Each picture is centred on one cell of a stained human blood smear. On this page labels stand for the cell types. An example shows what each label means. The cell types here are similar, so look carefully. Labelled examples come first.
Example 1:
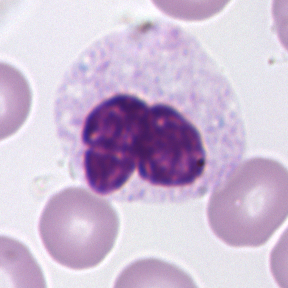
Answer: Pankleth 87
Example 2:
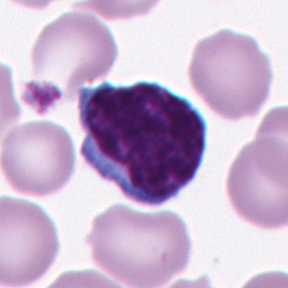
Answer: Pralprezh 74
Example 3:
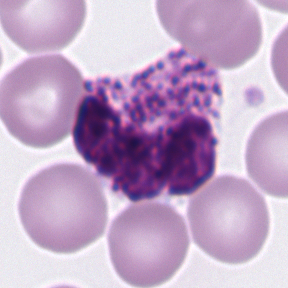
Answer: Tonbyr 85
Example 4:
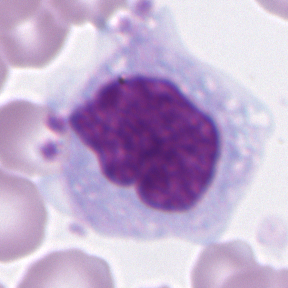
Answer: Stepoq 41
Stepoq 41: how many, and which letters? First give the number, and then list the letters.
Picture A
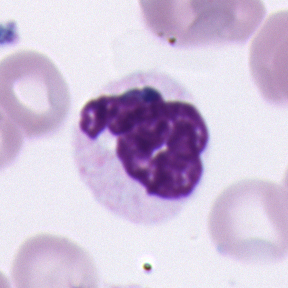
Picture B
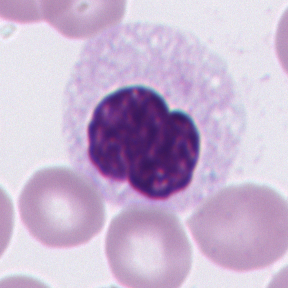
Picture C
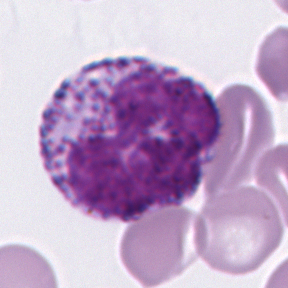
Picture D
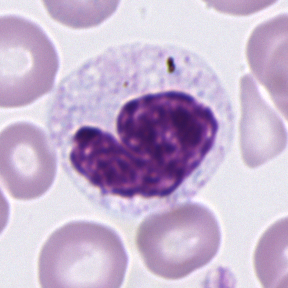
0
